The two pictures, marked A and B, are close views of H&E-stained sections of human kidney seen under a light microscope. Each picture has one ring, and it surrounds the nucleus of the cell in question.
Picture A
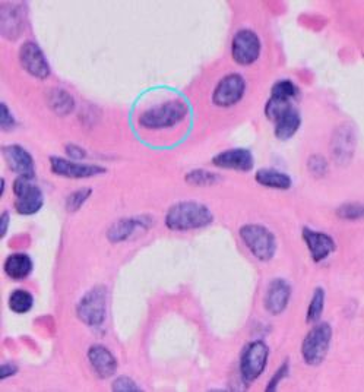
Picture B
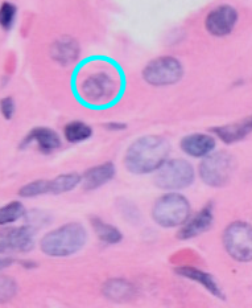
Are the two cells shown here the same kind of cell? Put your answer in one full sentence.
Yes, they are the same type: both are “loop of Henle or distal tubule cells”.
